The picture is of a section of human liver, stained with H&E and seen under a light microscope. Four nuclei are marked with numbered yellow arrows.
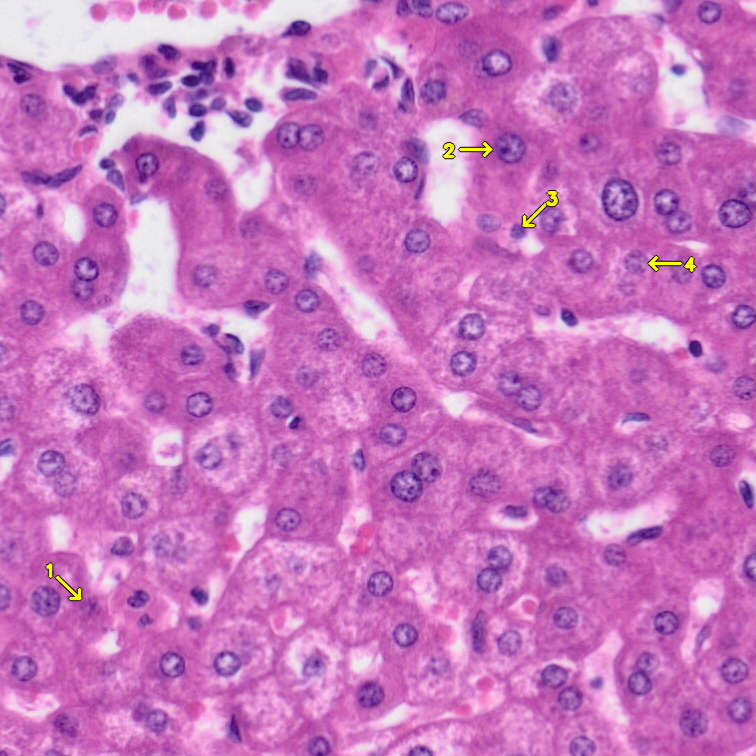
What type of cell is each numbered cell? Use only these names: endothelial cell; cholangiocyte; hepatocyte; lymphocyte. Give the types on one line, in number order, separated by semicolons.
hepatocyte; hepatocyte; lymphocyte; hepatocyte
